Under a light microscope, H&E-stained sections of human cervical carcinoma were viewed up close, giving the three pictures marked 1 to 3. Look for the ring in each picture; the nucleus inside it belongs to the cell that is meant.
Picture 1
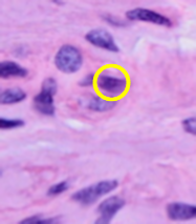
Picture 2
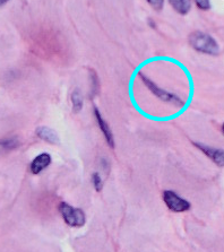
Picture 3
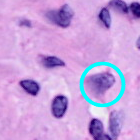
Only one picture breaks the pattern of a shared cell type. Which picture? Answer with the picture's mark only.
1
